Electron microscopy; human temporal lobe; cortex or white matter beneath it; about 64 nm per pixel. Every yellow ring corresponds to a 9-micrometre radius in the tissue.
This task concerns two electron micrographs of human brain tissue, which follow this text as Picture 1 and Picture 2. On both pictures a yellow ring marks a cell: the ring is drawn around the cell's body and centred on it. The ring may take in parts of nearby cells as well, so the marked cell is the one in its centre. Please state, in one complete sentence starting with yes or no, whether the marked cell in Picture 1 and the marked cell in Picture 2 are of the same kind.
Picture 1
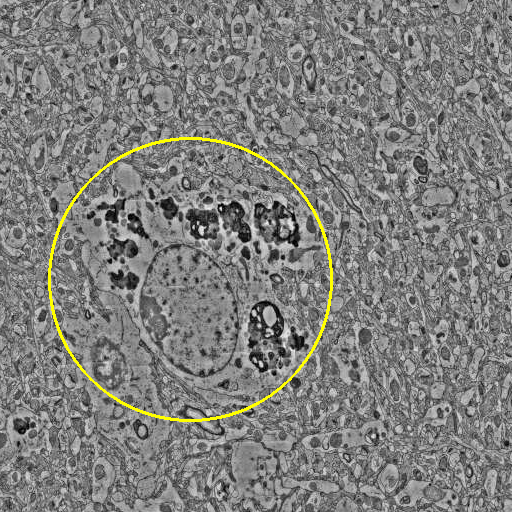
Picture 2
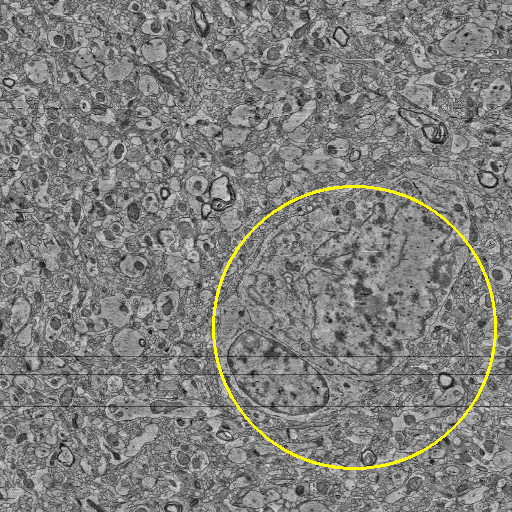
No, the marked cells in the two pictures are of two kinds.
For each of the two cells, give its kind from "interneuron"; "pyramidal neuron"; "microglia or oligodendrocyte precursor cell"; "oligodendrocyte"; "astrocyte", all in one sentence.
The first picture has an astrocyte in its ring, the second has an interneuron.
